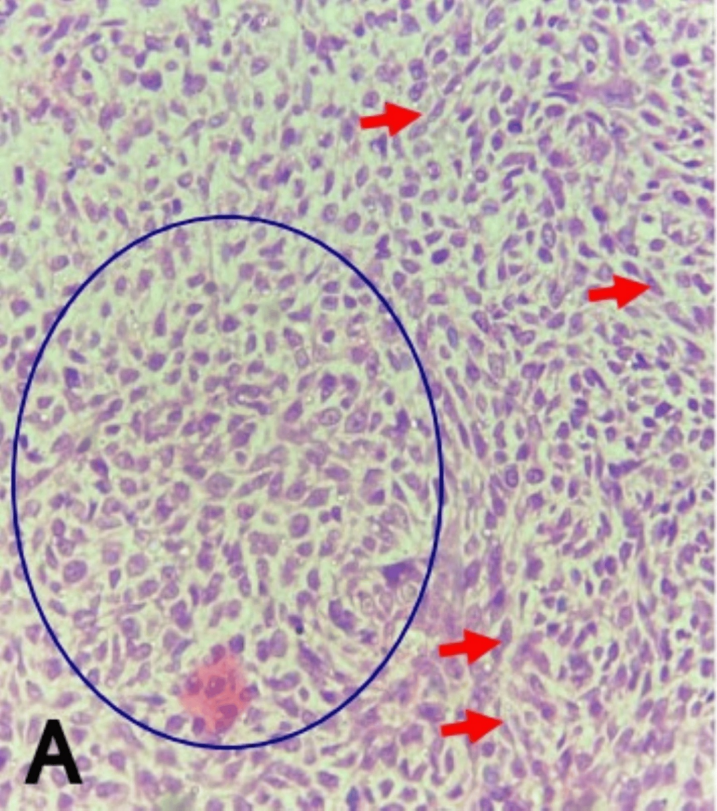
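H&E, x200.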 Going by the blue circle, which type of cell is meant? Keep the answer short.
Sheets of atypical epithelioid cells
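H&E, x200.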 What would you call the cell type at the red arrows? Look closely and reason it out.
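The arrowed cells have elongated, spindle-shaped nuclei. They run in streaming fascicles. The nuclei vary in size and are darkly stained.
Conclusion: atypical spindle cells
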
